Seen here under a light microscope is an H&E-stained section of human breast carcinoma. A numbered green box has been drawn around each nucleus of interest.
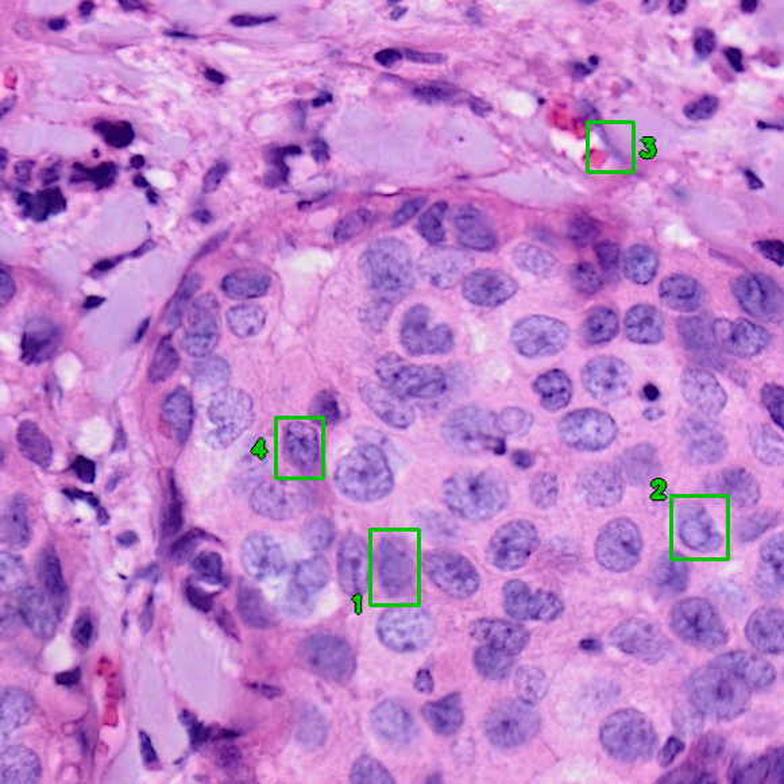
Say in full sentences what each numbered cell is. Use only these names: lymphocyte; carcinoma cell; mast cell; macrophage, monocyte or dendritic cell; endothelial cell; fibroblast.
Cells 1, 2 and 4 are carcinoma cells. Cell 3 is an endothelial cell.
